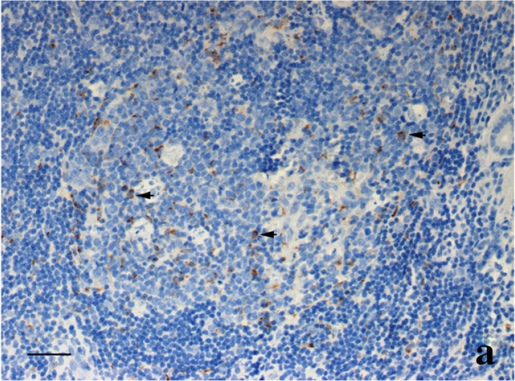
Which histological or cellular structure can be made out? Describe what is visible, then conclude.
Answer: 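Densely packed small round cells with dark blue nuclei fill the field. A paler central zone with larger, lighter cells is ringed by denser small dark cells. So: lymphoid follicles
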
